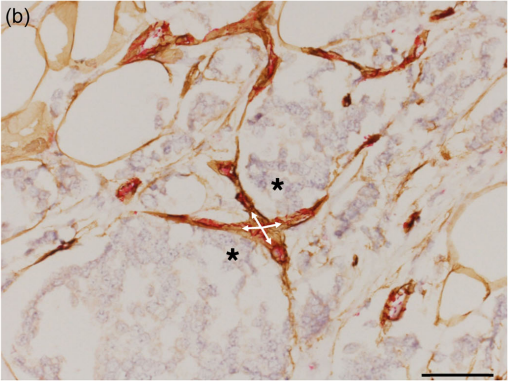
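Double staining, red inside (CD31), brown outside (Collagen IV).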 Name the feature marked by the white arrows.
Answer: Excessively branched capillaries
